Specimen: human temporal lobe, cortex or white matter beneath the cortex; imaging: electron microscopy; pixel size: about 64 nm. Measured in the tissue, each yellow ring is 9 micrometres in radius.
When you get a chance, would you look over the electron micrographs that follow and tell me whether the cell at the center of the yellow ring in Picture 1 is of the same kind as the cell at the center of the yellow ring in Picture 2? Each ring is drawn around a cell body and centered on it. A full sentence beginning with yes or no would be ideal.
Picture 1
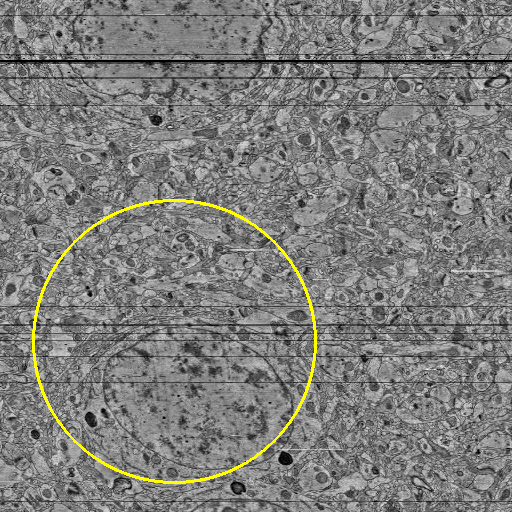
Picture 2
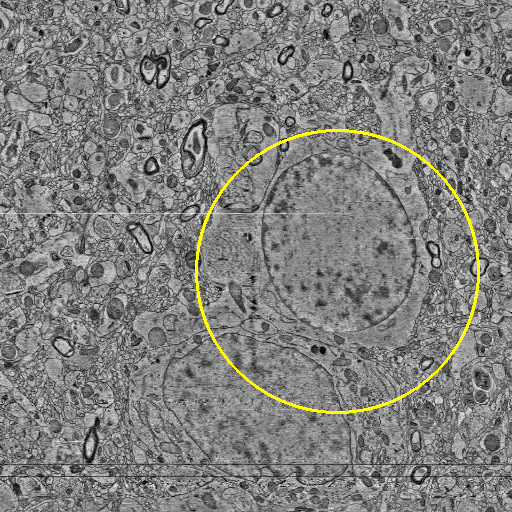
No, they are two kinds of cell.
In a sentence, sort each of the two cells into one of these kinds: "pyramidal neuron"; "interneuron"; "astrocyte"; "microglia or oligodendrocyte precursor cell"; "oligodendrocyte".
The first of the two cells is a pyramidal neuron, and the second is an astrocyte.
